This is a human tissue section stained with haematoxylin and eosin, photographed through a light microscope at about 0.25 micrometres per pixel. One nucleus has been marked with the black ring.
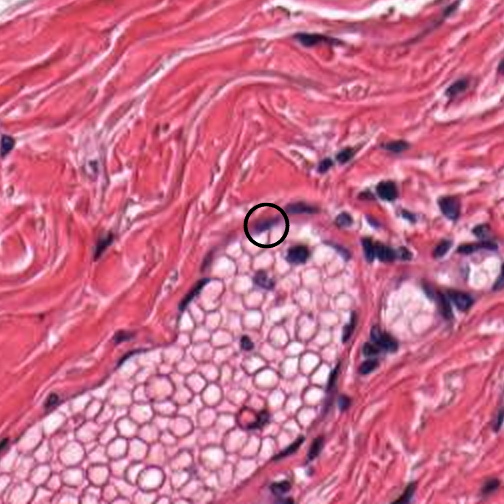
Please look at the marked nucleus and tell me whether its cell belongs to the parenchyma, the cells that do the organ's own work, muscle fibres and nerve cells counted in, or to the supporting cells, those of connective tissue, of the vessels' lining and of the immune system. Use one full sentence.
Located within a supporting cell is the nucleus that has been marked.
